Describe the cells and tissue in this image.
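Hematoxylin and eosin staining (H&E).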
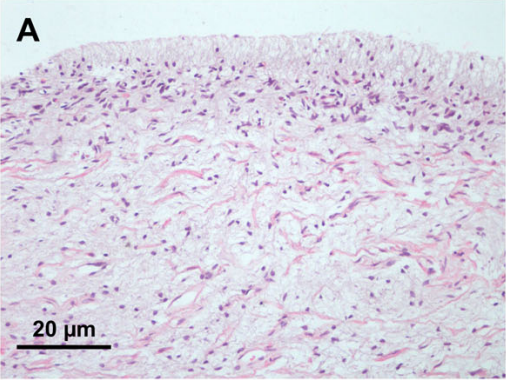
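This is dental pulp with its odontoblastic layer running along the top edge. The odontoblasts form a crowded palisade of cells with purple nuclei, topped by a pale fringe of cell processes. Beneath them is a cell-rich zone with many spindle and oval nuclei. Deeper down, the pulpal connective tissue is loose and pale. Scattered fibroblast-like cells and thin wavy pink fibres run through it.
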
